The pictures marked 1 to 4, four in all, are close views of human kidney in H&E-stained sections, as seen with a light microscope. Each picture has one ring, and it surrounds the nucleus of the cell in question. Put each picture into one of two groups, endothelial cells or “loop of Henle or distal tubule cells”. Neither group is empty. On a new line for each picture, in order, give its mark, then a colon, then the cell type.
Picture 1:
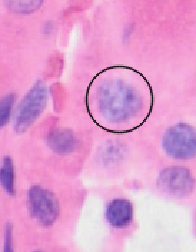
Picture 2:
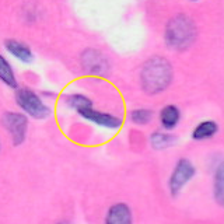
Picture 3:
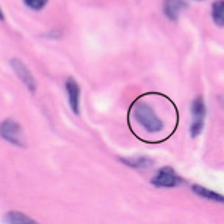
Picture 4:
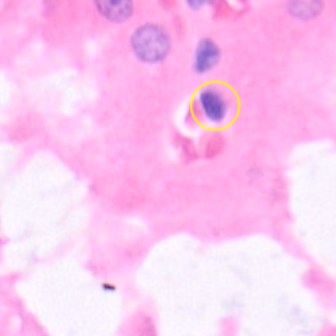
1: loop of Henle or distal tubule cell
2: endothelial cell
3: endothelial cell
4: endothelial cell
